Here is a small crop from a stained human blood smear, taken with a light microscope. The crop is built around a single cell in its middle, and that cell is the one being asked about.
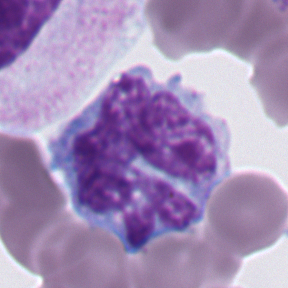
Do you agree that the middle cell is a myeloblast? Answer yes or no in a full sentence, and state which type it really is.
No, the cell in the middle is categorised as a monocyte, not a myeloblast.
